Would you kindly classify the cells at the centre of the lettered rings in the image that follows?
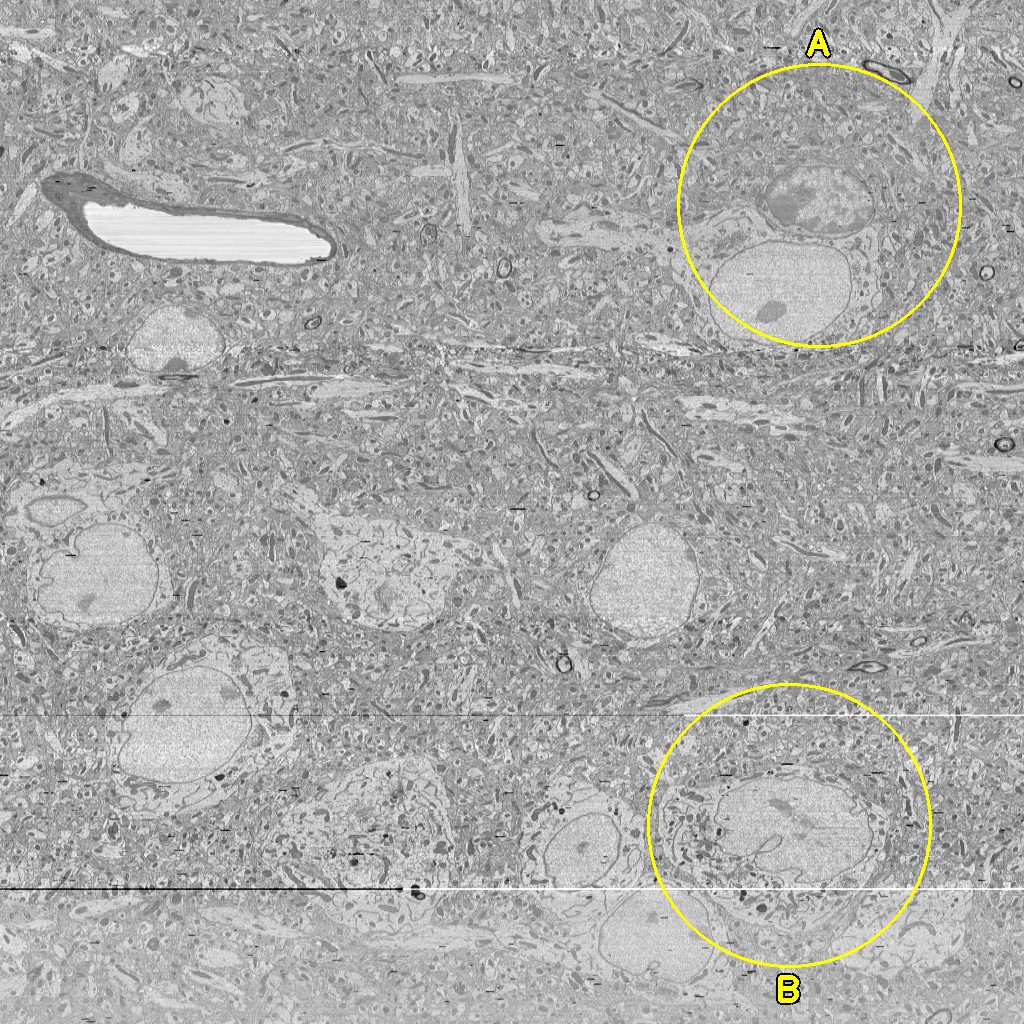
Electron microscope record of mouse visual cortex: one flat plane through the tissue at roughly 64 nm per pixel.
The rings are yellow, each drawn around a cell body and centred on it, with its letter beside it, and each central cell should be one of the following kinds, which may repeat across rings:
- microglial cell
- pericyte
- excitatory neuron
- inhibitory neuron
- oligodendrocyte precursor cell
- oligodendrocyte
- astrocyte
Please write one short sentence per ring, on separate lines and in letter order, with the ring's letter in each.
The kind of cell at the centre of ring A is an oligodendrocyte.
The kind of cell at the centre of ring B is an inhibitory neuron.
